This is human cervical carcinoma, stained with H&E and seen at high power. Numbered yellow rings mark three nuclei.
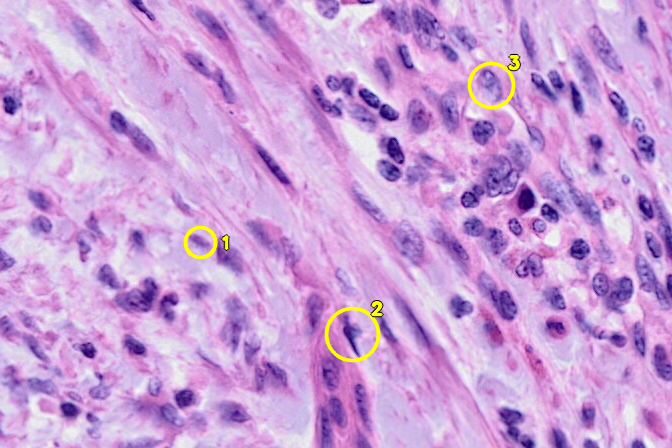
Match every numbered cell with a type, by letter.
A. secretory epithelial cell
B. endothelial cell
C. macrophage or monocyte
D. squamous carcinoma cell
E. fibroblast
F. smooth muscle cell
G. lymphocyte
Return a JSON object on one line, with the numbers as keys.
{"1": "E", "2": "G", "3": "B"}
